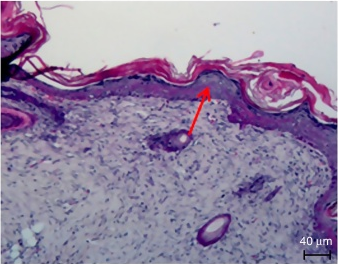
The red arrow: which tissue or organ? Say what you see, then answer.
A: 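The arrow points to a thin purple cellular layer along the surface. Flaky pink layers lie on top of it. Pale fibrous tissue with scattered nuclei lies below.
Answer: epidermis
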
